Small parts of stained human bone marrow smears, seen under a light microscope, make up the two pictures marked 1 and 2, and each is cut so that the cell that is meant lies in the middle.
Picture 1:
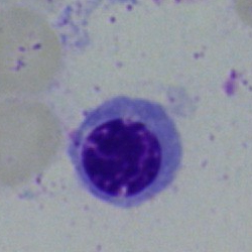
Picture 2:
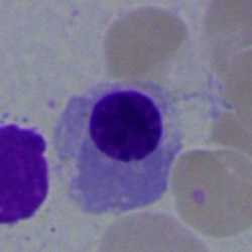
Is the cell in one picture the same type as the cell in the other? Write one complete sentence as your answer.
Yes, both are erythroblasts.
